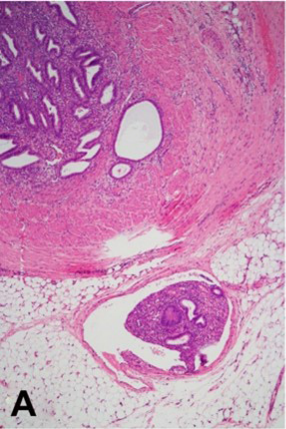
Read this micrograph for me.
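This section shows endometrial glands and stroma lying within vessels, surrounded by fat. Below, a smaller thin-walled vessel in the fat contains a loose rounded focus of glands and stroma, separated from the wall by an empty space.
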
